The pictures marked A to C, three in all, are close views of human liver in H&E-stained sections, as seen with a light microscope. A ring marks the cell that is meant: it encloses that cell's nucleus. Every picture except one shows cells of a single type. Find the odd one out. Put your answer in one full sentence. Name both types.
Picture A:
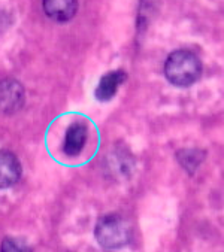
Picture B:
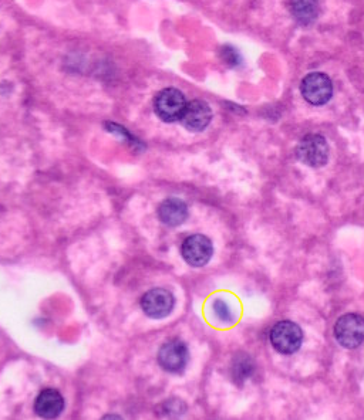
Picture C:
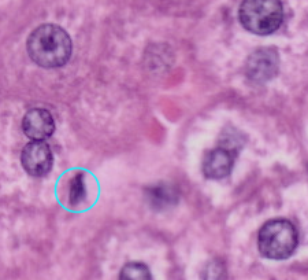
Picture C differs, because its cell is an endothelial cell and the rest are lymphocytes.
